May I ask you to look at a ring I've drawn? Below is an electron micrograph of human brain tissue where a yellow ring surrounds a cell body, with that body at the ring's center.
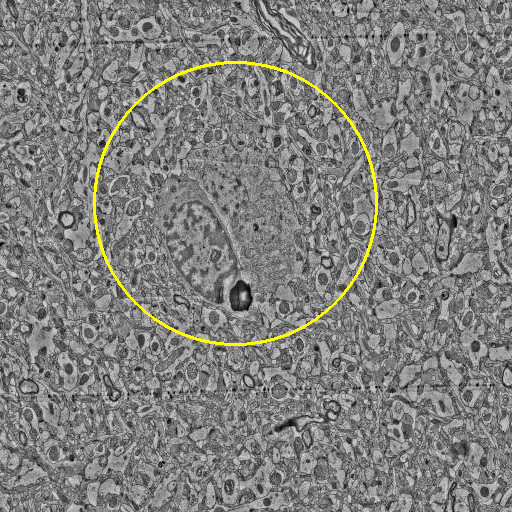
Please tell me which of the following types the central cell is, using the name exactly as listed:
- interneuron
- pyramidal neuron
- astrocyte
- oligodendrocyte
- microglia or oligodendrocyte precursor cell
interneuron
